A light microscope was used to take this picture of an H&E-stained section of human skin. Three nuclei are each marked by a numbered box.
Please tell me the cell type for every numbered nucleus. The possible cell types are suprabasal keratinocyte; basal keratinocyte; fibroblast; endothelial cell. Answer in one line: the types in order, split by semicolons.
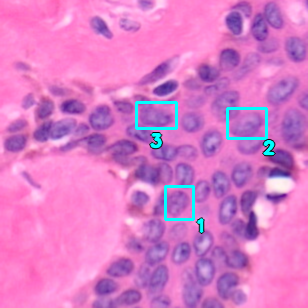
basal keratinocyte; suprabasal keratinocyte; basal keratinocyte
